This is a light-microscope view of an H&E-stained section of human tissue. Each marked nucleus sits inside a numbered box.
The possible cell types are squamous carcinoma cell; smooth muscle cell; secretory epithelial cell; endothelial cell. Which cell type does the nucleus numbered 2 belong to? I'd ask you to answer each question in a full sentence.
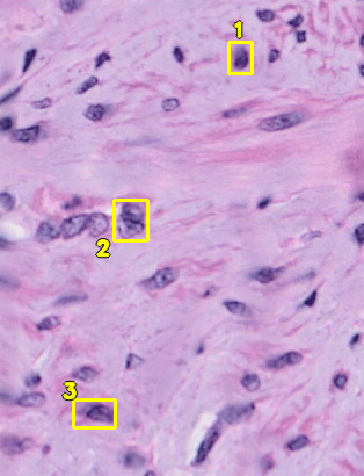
Marked with the number 2, this cell is an endothelial cell.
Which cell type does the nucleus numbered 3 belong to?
The marked cell with the number 3 is recognised as a smooth muscle cell.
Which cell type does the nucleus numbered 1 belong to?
Heads up, the cell numbered 1 is a smooth muscle cell.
